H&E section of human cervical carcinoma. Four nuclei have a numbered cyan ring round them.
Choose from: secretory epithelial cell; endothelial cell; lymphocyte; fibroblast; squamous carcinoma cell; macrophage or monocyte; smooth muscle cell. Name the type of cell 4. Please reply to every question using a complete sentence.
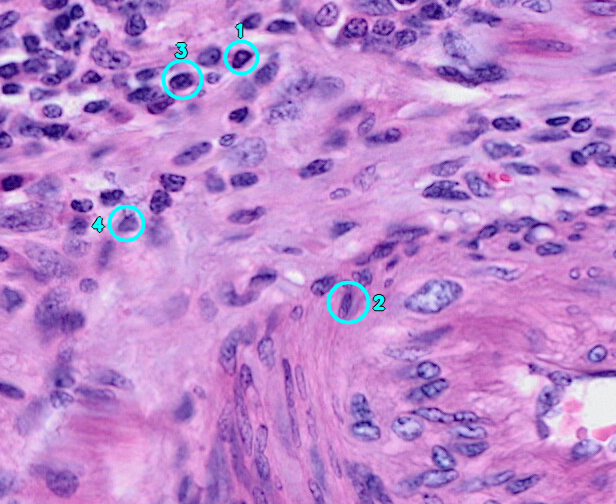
The identity of cell 4 is that of a lymphocyte.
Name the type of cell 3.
The cell referenced by the number 3 is a lymphocyte in this field.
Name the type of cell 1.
The cell that goes by number 1 is a lymphocyte.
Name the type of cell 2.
The cell pointed out by number 2 is a smooth muscle cell.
